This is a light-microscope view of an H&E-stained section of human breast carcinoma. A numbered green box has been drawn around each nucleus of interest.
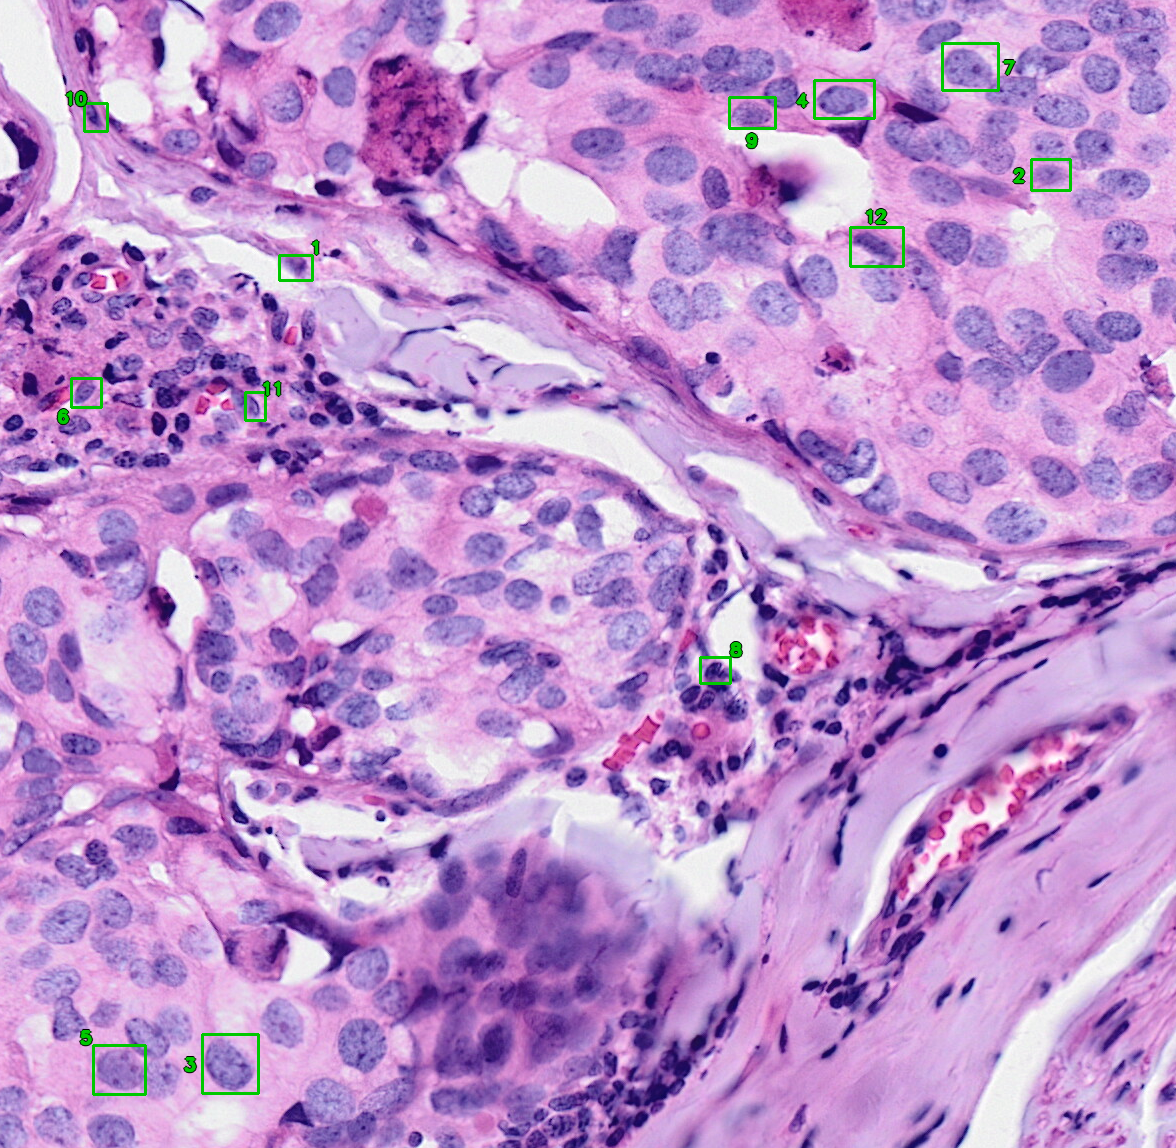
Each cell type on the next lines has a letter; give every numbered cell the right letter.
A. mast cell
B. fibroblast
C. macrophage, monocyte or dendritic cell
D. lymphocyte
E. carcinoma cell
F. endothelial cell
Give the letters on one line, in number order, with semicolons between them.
B; E; E; E; E; F; E; D; E; F; F; E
